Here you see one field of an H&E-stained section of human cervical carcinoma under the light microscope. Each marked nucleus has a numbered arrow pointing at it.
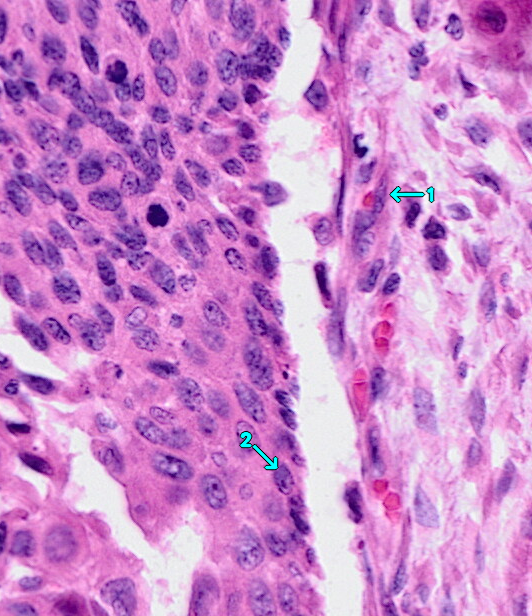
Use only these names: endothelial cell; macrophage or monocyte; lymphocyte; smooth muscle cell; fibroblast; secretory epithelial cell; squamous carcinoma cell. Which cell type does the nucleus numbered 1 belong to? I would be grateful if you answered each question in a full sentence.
The cell assigned the number 1 is an endothelial cell.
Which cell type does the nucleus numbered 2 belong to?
The cell bearing label 2 corresponds to a squamous carcinoma cell.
